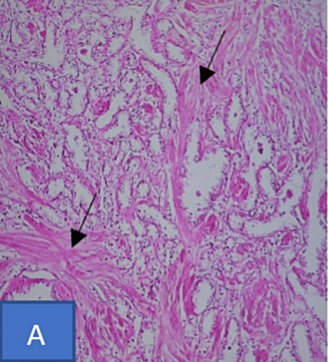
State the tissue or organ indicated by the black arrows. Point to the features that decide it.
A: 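Fibro-muscular stroma. The arrows point to pink, streaming bundles of spindle-shaped cells. These bundles run between and around the glandular spaces.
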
